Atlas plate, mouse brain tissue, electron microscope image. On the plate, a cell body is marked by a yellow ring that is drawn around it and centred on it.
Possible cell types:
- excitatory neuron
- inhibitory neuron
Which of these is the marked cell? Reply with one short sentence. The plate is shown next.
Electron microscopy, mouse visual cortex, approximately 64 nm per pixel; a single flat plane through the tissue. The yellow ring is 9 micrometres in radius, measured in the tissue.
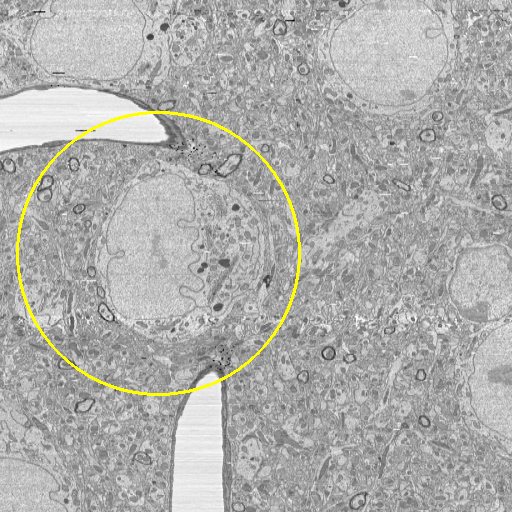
The marked cell is an inhibitory neuron.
